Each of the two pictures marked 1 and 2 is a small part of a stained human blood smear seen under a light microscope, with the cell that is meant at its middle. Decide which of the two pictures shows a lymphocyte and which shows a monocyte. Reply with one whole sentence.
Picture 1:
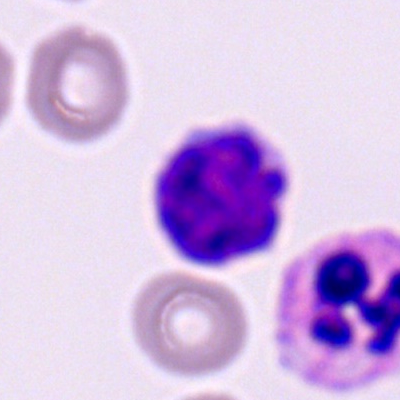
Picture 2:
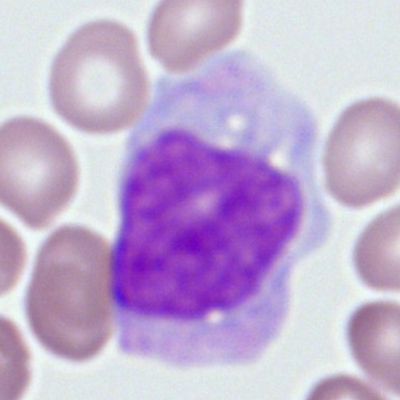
The cell in picture 1 is a lymphocyte, and the one in picture 2 is a monocyte.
